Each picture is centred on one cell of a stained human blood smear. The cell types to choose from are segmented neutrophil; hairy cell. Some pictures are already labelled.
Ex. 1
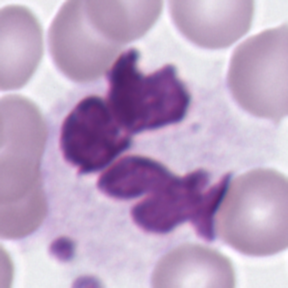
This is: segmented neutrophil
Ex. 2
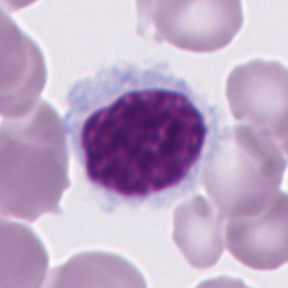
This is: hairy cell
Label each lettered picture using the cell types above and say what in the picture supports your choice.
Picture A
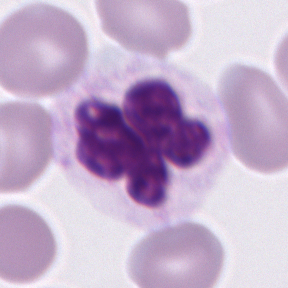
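segmented neutrophil: The nucleus is divided into several lobes clustered in the centre of the cell.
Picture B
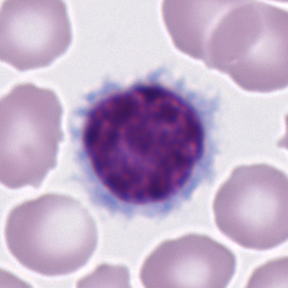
hairy cell: The cytoplasm forms a narrow rim around the nucleus.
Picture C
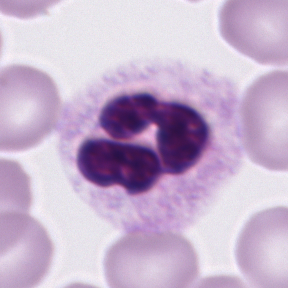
segmented neutrophil: The nucleus is divided into three lobes.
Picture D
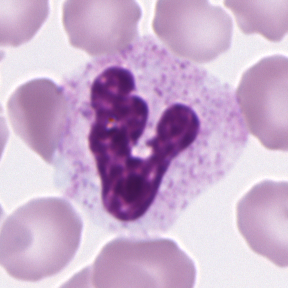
segmented neutrophil: The cytoplasm is abundant and pale pinkish-lilac.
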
